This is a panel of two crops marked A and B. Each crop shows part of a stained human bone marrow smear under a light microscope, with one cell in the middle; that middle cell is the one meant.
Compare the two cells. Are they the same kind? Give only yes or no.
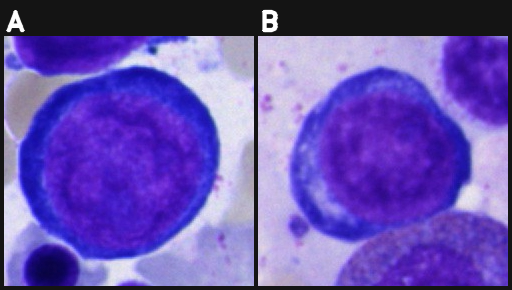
yes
